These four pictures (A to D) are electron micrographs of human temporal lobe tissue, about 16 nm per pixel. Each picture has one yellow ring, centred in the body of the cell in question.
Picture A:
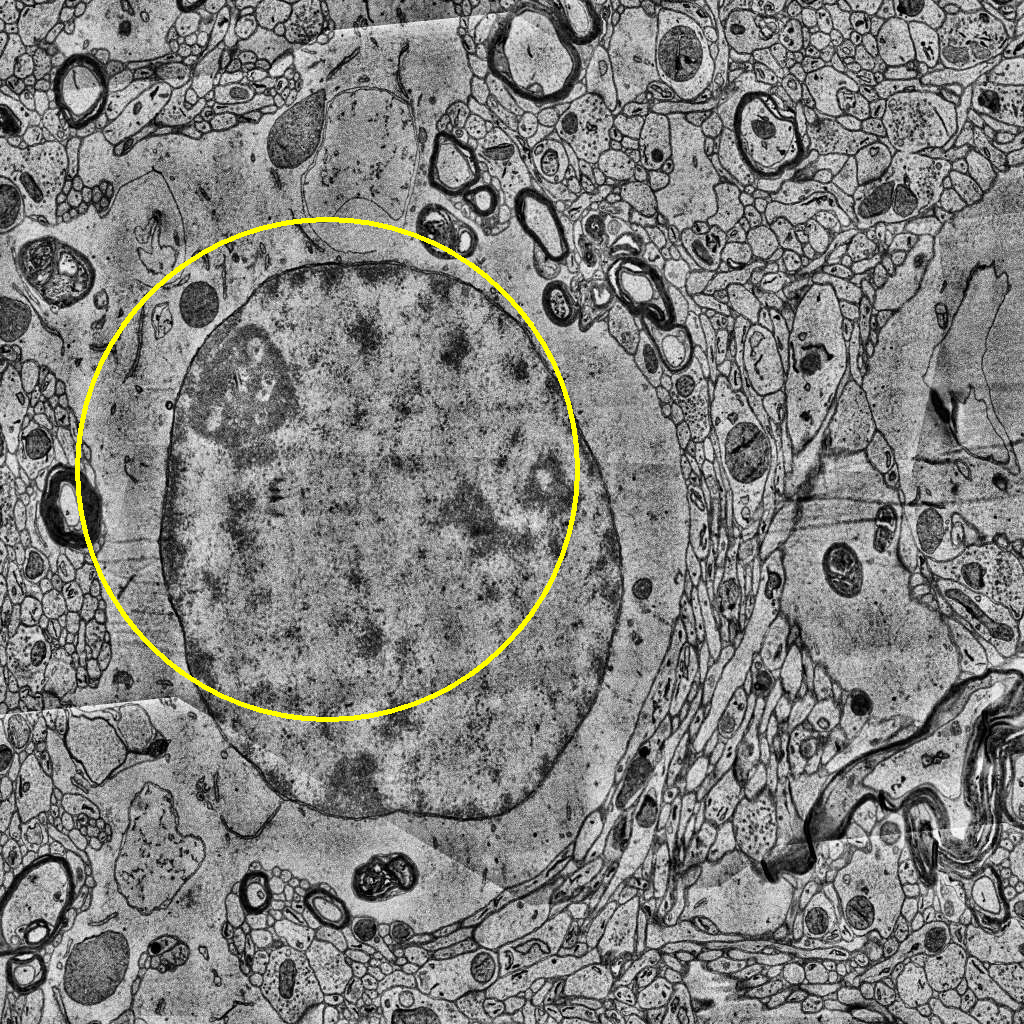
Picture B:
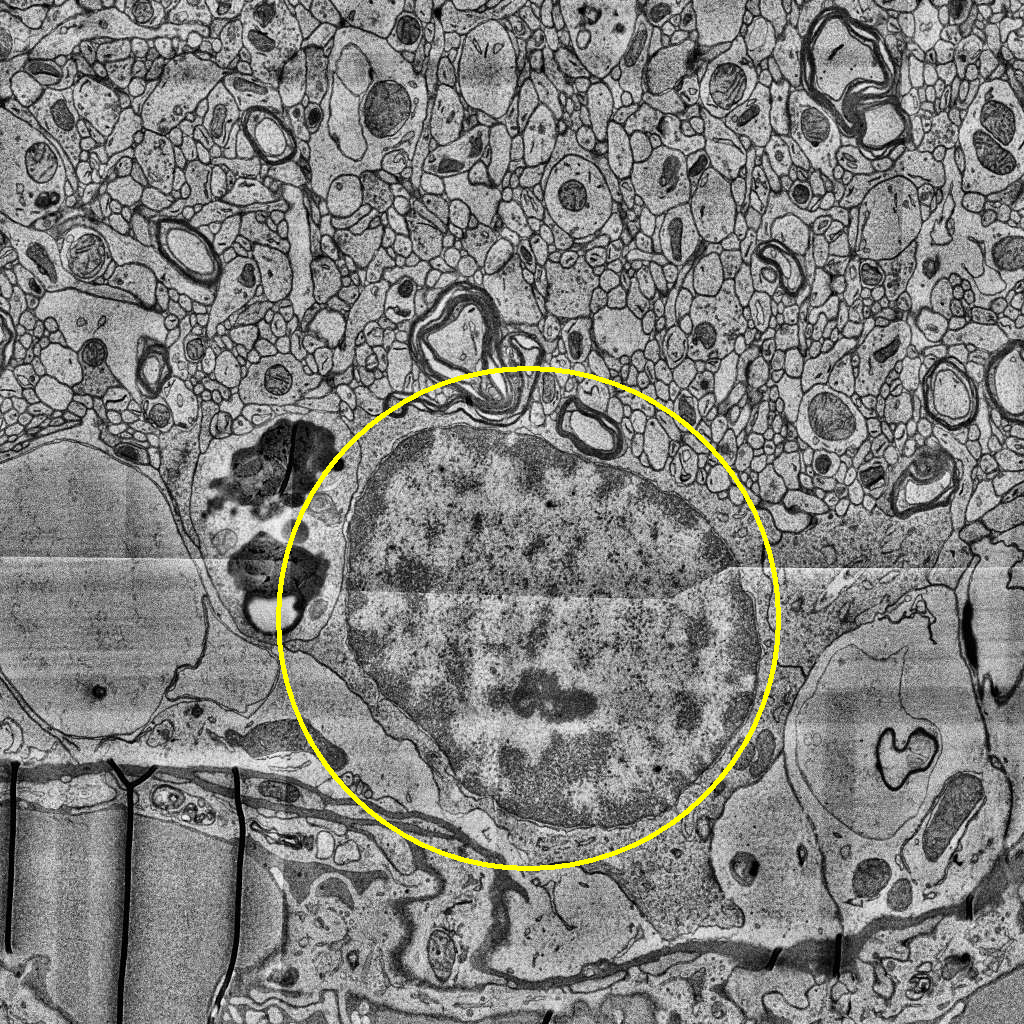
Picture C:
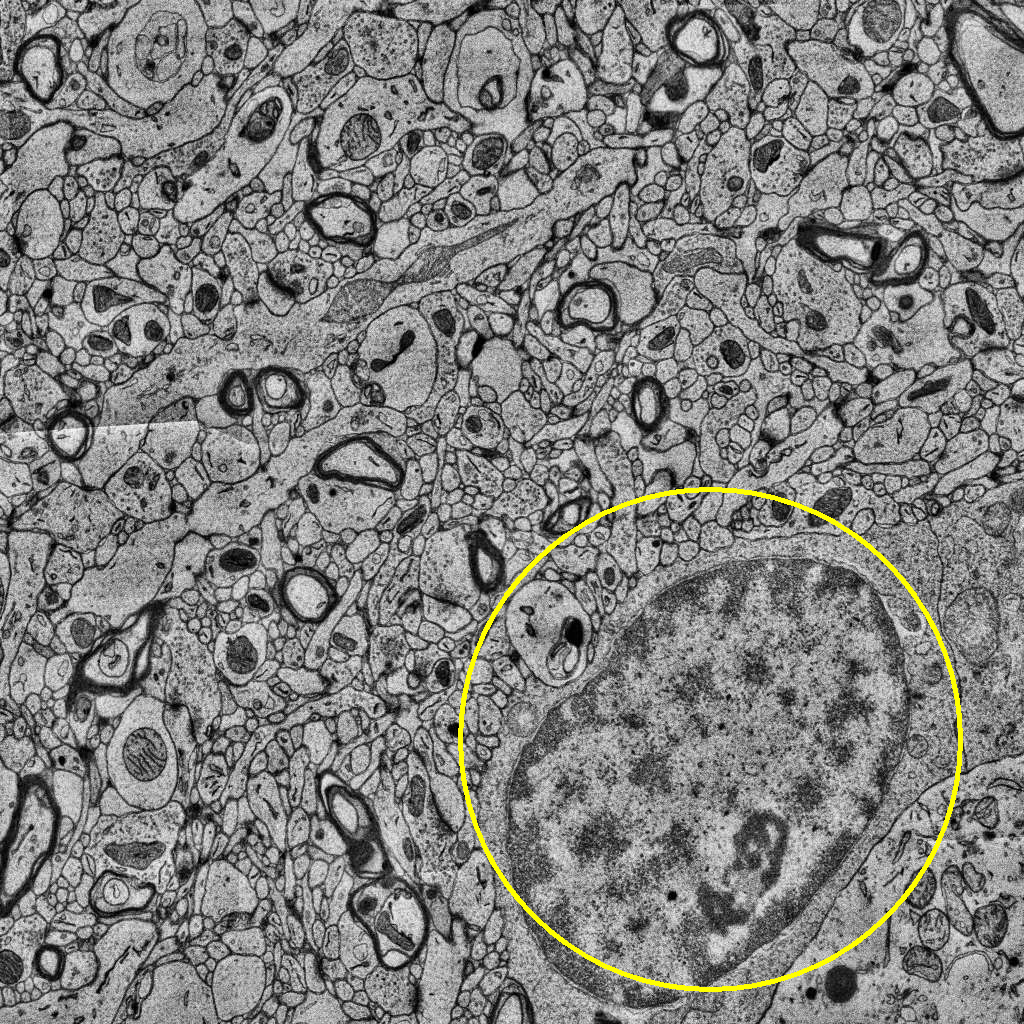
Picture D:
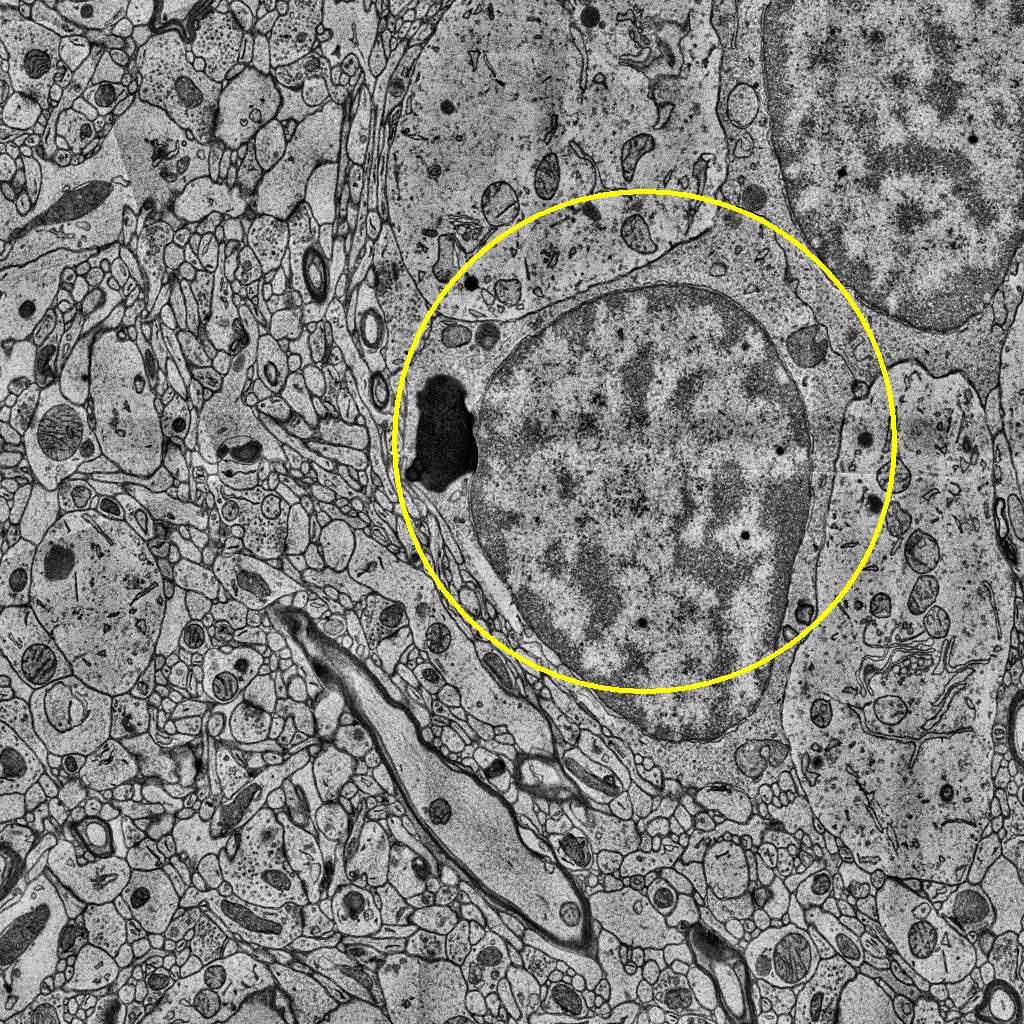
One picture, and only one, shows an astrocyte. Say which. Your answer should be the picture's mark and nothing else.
A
